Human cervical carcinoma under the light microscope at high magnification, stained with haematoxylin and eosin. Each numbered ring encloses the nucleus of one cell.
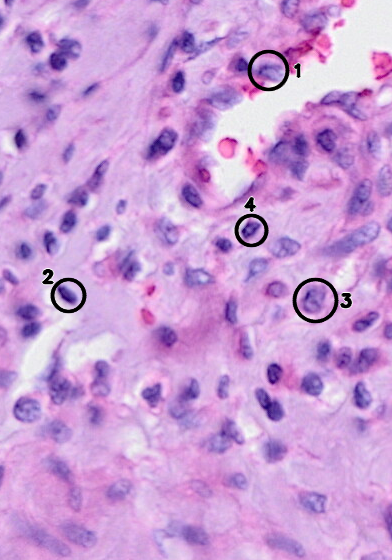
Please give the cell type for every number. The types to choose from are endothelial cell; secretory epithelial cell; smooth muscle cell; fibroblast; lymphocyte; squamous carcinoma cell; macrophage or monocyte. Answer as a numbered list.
1. endothelial cell
2. lymphocyte
3. macrophage or monocyte
4. lymphocyte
